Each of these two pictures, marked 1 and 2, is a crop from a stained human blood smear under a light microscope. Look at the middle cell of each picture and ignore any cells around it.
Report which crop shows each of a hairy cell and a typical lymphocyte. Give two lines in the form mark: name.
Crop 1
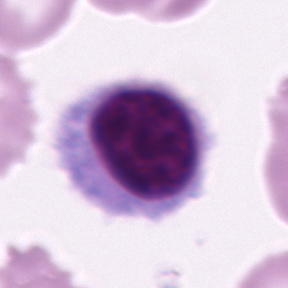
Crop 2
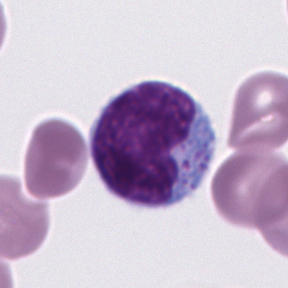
1: hairy cell
2: typical lymphocyte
